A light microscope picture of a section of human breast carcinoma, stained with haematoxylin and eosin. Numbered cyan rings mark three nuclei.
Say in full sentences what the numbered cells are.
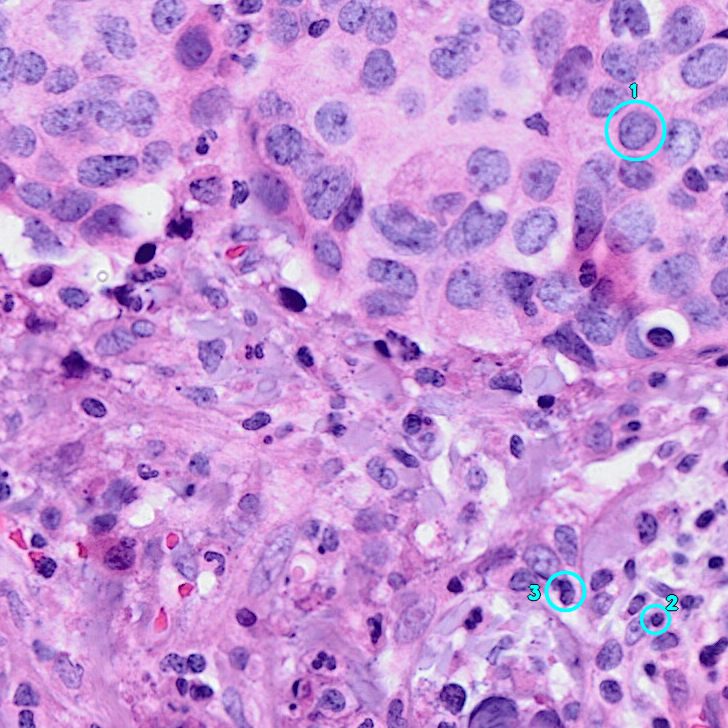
Cell 1 is a carcinoma cell. Cells 2 and 3 are lymphocytes.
